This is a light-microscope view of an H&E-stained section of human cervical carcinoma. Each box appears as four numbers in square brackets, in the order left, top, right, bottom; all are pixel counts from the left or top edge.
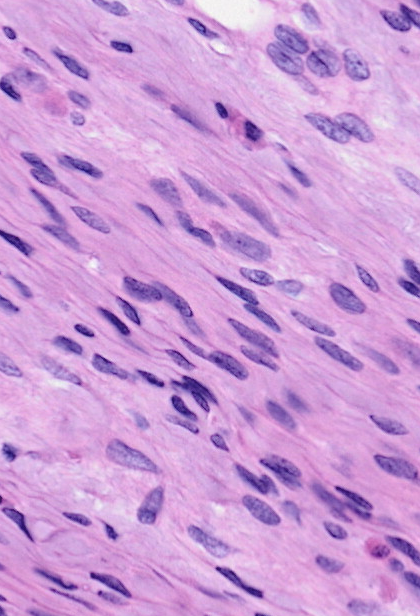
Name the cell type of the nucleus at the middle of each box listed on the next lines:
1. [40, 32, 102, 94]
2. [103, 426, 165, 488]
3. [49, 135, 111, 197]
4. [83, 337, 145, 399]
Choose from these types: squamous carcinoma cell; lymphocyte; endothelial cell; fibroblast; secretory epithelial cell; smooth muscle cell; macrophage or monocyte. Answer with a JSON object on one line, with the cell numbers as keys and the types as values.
{"1": "fibroblast", "2": "smooth muscle cell", "3": "fibroblast", "4": "fibroblast"}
